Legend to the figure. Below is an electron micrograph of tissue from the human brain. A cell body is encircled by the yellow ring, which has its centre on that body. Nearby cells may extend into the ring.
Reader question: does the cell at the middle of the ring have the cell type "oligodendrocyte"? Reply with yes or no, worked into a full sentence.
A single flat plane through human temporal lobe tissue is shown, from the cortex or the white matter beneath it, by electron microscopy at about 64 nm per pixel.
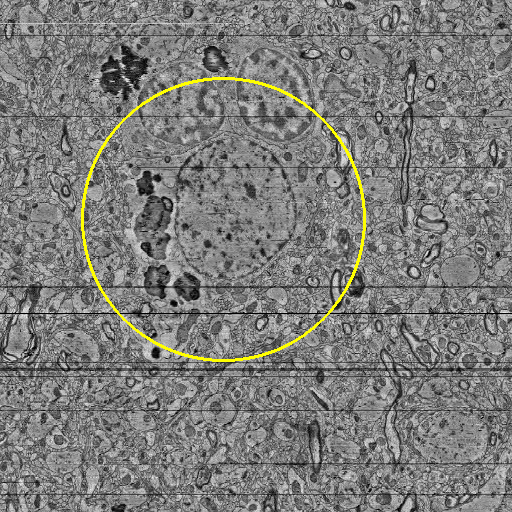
No, the cell sitting at the middle of the ring in the picture has another cell type.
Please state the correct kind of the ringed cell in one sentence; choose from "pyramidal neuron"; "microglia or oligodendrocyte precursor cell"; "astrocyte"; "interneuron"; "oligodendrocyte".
Instead, the cell inside the ring is an astrocyte.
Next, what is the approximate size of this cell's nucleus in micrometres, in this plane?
Approximately 10 x 8 micrometres in this plane.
